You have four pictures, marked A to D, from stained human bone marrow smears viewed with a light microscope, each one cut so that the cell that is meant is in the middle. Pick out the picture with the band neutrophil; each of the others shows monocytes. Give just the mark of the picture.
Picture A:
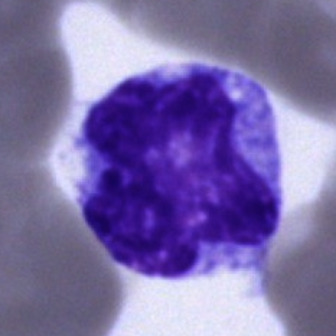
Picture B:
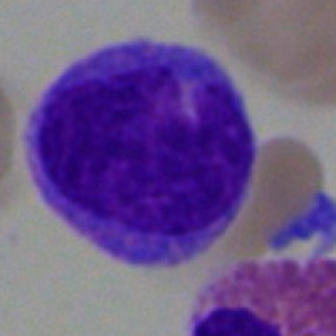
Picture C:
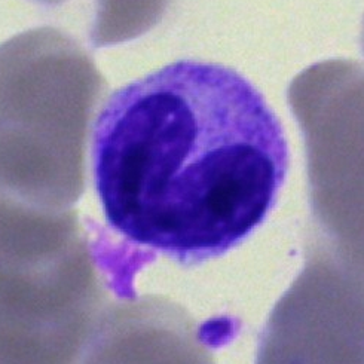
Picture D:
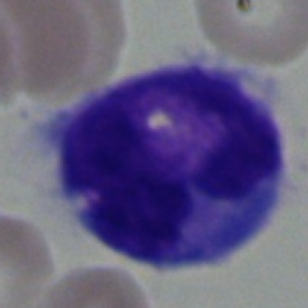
C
